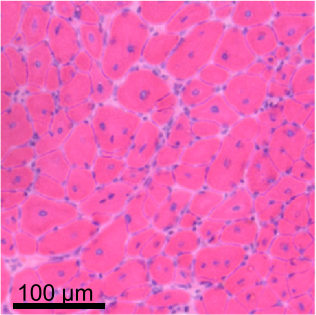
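The fibres are noticeably small and vary in size, so many more of them fill the field. Numerous fibres have a centrally placed dark nucleus. The spaces between fibres are wider and paler, and hold many scattered small nuclei. The overall arrangement looks less compact than in normally sized muscle.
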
